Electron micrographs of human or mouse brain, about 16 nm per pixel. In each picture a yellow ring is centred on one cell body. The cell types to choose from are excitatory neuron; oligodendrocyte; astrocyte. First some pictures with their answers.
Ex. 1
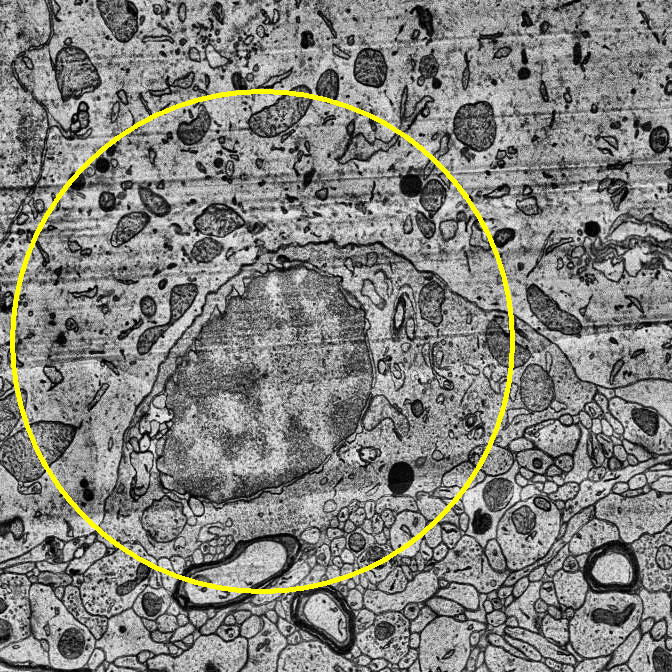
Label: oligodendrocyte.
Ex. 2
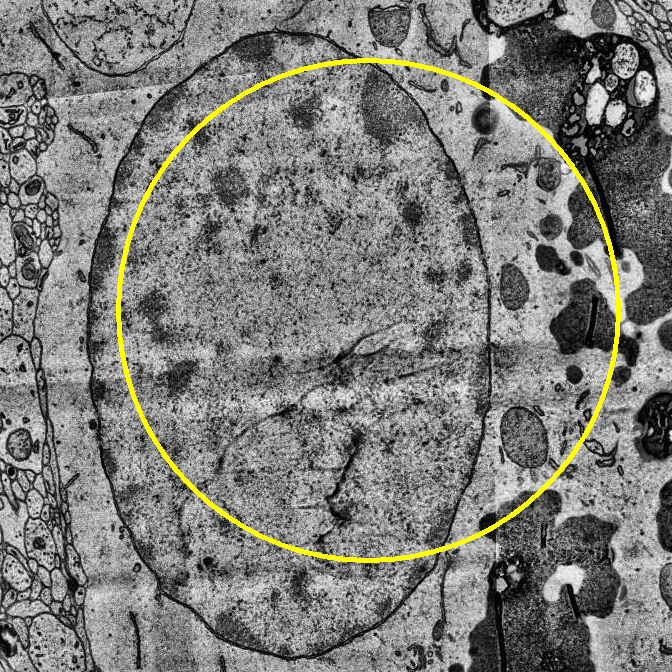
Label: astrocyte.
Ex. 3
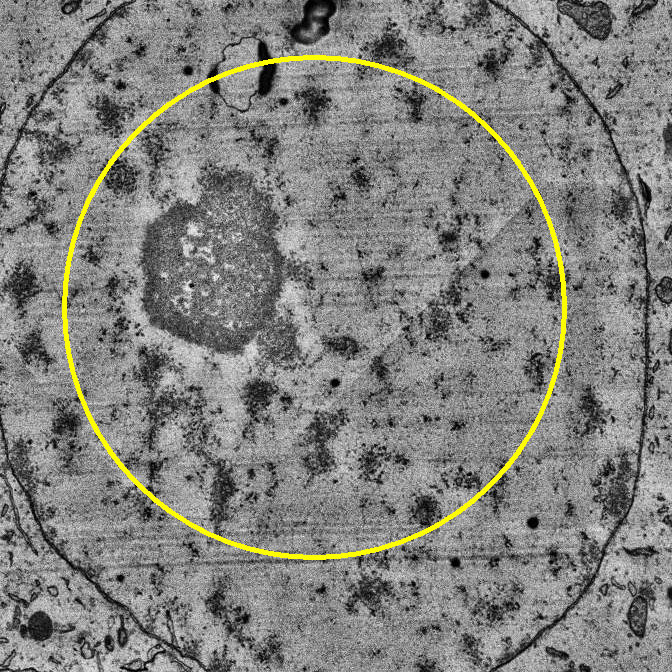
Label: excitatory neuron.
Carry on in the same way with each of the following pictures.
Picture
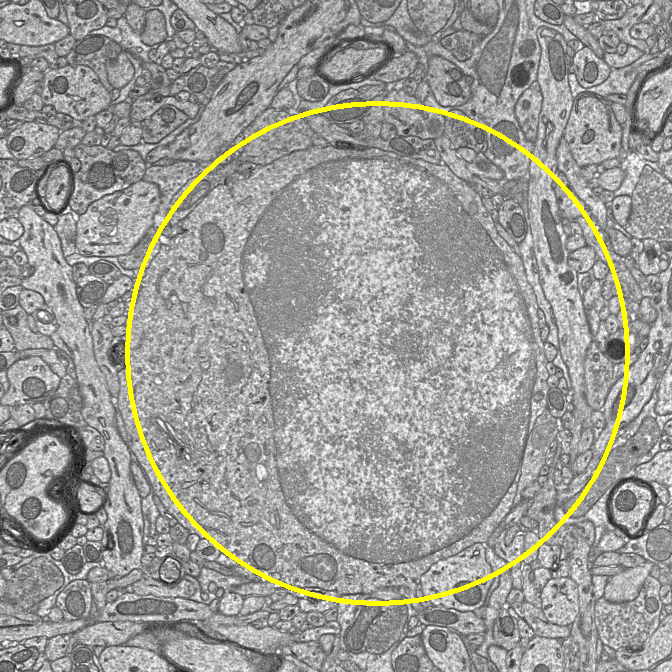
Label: oligodendrocyte.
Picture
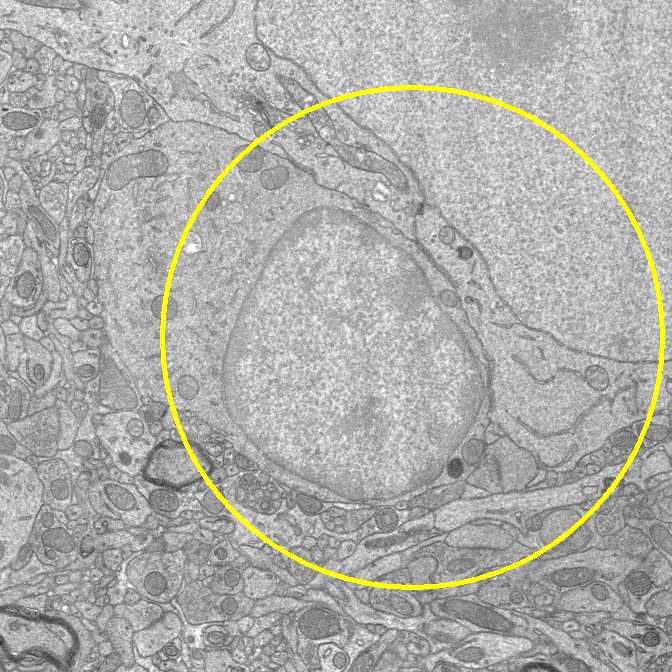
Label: oligodendrocyte.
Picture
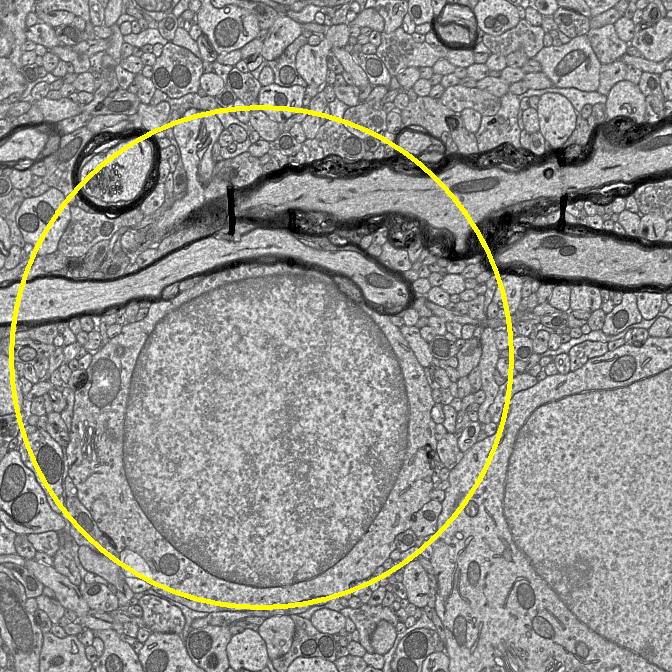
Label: oligodendrocyte.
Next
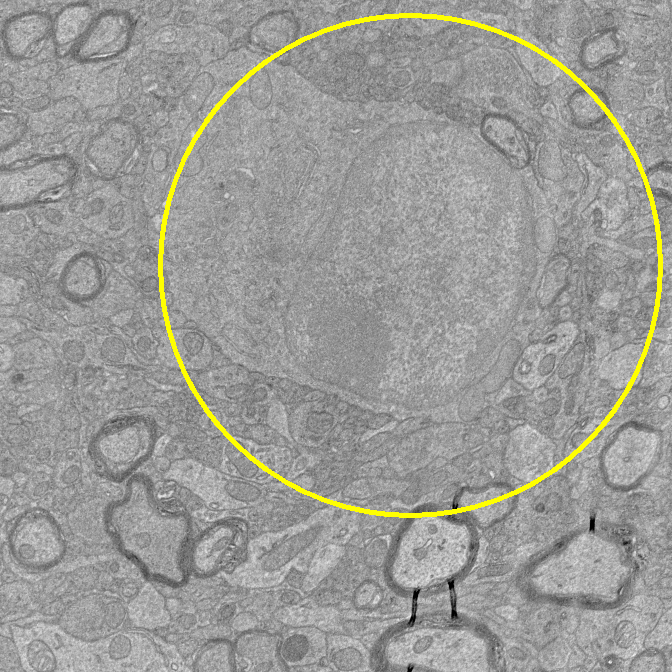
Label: oligodendrocyte.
